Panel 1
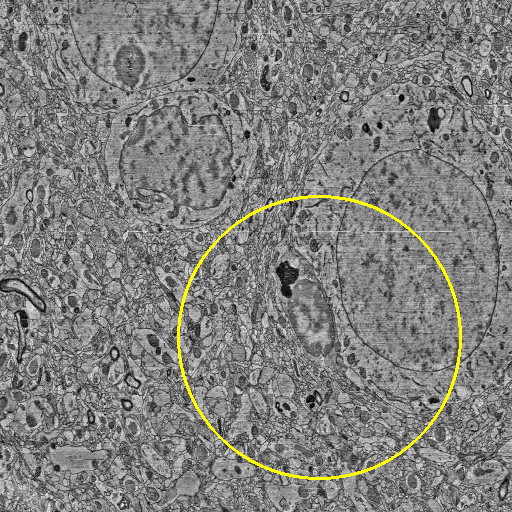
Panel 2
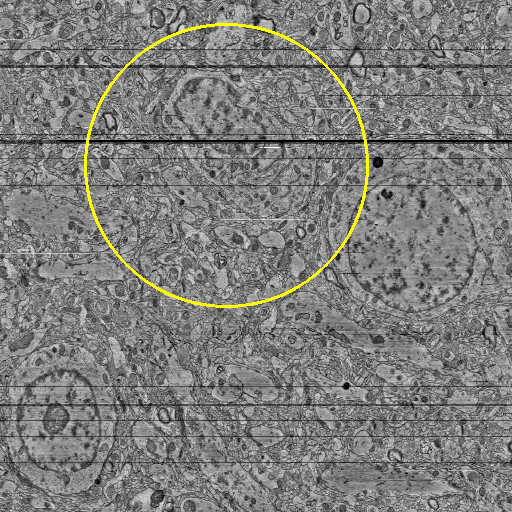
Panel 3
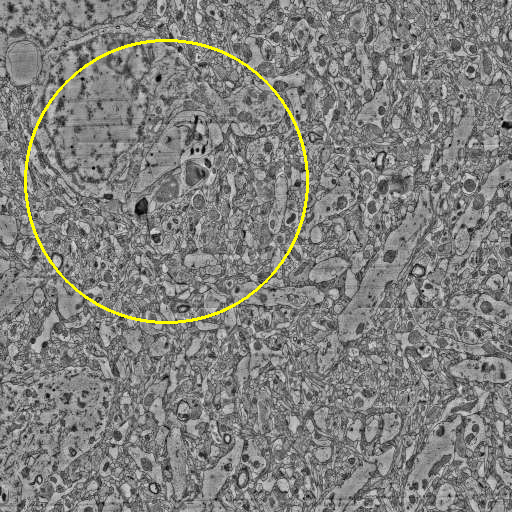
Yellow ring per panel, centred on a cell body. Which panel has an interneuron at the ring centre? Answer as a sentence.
Panel 2 shows it at the ring centre.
